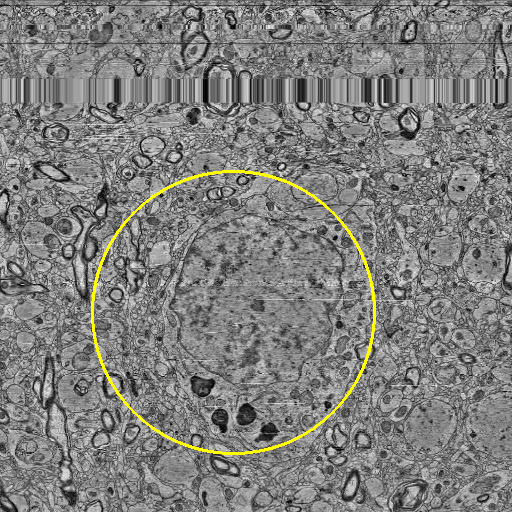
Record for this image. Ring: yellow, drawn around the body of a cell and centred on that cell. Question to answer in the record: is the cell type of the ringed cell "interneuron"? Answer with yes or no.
yes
